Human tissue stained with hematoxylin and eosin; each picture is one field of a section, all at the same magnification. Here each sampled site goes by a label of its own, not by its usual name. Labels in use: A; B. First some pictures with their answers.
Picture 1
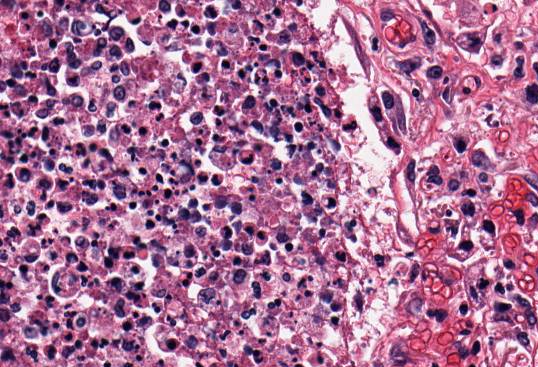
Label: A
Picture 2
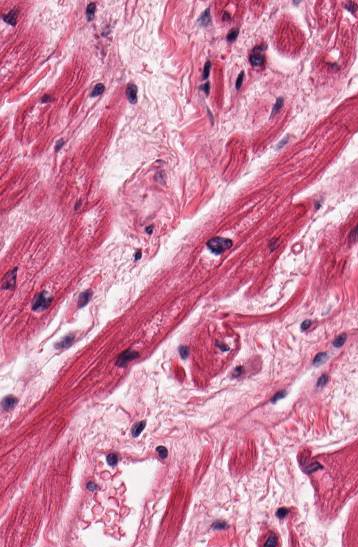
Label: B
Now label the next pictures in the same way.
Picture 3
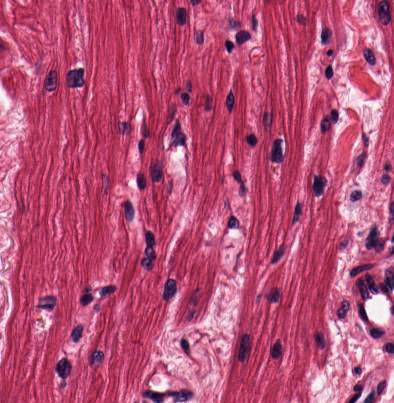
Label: B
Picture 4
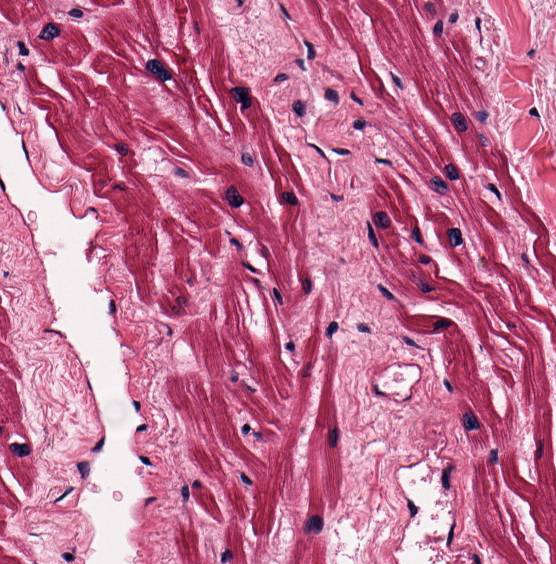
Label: B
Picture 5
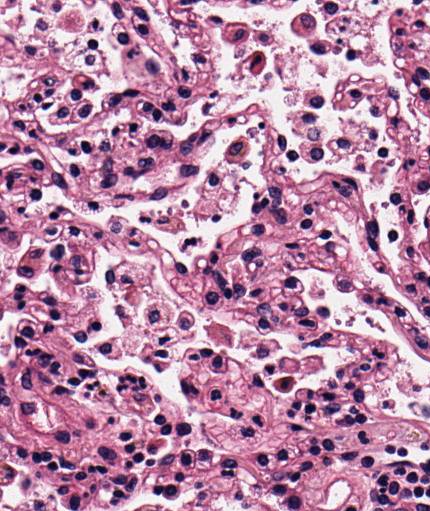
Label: A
